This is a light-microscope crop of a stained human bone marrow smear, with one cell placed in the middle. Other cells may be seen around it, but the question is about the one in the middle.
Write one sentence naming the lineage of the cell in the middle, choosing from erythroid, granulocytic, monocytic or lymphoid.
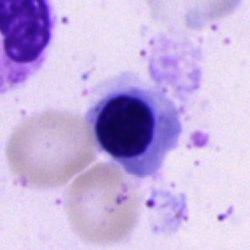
The cell that sits at the center is attributed to the erythroid lineage.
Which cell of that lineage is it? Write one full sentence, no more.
The cell under consideration, at the middle of the crop, is an erythroblast.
